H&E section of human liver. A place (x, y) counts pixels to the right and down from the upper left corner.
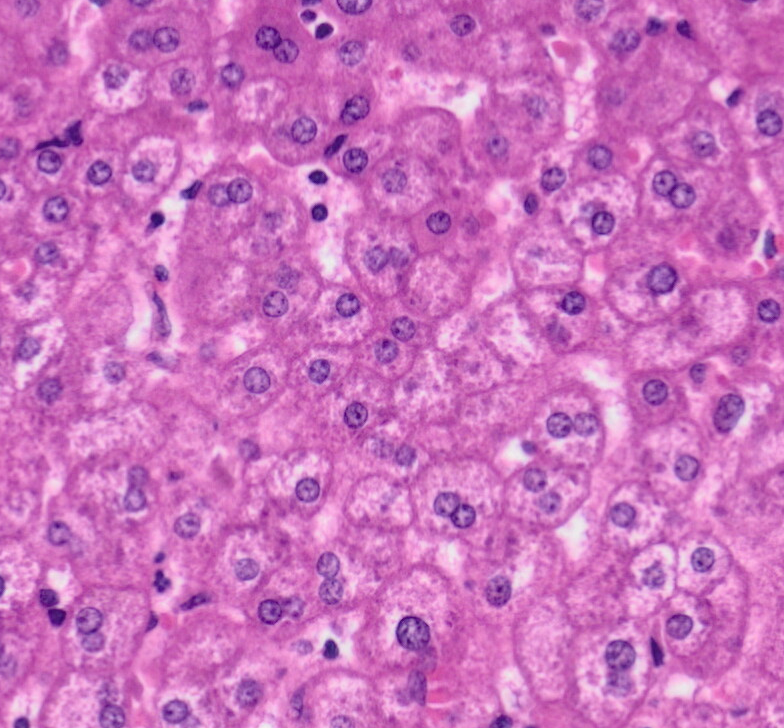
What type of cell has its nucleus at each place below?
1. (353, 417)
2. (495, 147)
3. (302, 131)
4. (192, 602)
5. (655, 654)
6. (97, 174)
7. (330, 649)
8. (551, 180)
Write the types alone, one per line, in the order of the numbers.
hepatocyte
hepatocyte
hepatocyte
Kupffer cell
fibroblast or stellate cell
hepatocyte
lymphocyte
hepatocyte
